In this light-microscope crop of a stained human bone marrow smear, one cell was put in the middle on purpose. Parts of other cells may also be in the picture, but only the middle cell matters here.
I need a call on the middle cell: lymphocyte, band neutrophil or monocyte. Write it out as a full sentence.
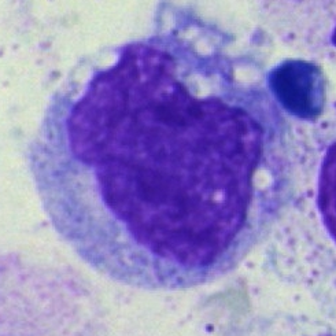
Answering briefly, the cell in the middle is a monocyte.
